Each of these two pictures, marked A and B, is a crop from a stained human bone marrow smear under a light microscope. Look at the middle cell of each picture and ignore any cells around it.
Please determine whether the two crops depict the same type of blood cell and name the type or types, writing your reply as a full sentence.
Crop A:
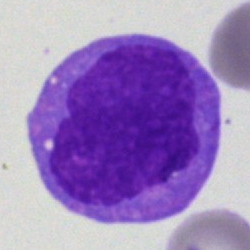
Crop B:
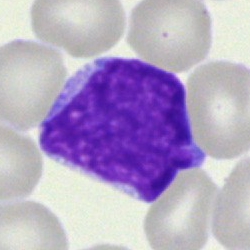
Yes, that is right, both crops show blasts.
